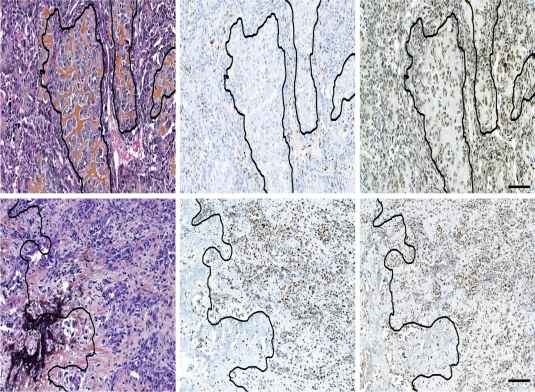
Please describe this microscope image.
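These are sections of a high-grade osteosarcoma, a malignant bone-forming tumor. Densely packed, pleomorphic tumor cells with dark, irregular nuclei are shown. In the left column, pink to orange matrix is laid down between the tumor cells, and black lines trace the boundaries of matrix-rich areas. In the upper middle image most tumor nuclei are blue with only scattered brown nuclei, whereas in the lower middle image and in both right-hand images many nuclei are brown.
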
